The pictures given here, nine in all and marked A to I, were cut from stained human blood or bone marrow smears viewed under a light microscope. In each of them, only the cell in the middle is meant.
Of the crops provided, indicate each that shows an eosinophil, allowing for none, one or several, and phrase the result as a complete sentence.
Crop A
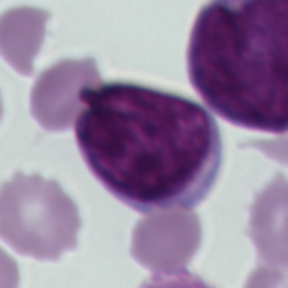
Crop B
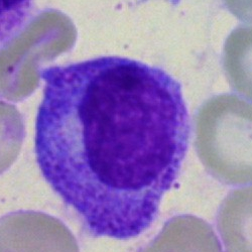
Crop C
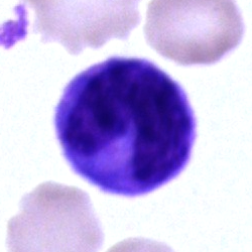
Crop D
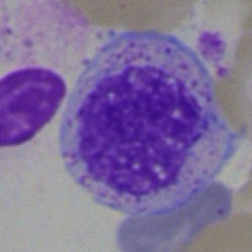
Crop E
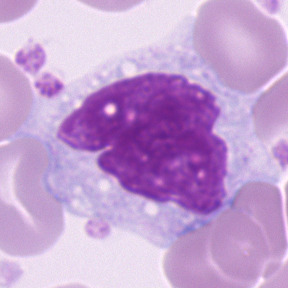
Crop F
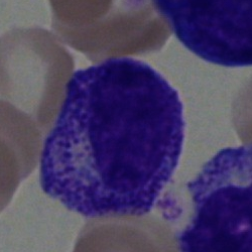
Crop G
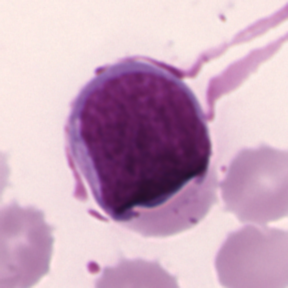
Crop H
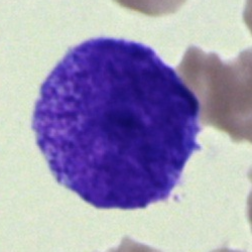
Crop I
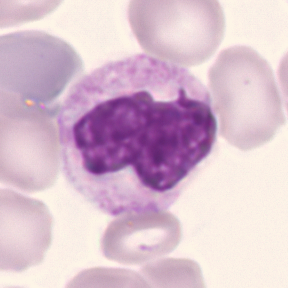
There is no crop here whose central cell is an eosinophil.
